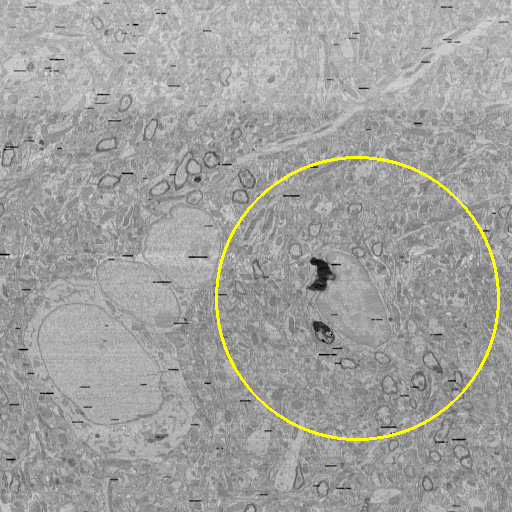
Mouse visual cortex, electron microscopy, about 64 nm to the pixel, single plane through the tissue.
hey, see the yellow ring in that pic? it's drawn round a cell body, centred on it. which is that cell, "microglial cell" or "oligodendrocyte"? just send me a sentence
The cell in the ring is a microglial cell.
